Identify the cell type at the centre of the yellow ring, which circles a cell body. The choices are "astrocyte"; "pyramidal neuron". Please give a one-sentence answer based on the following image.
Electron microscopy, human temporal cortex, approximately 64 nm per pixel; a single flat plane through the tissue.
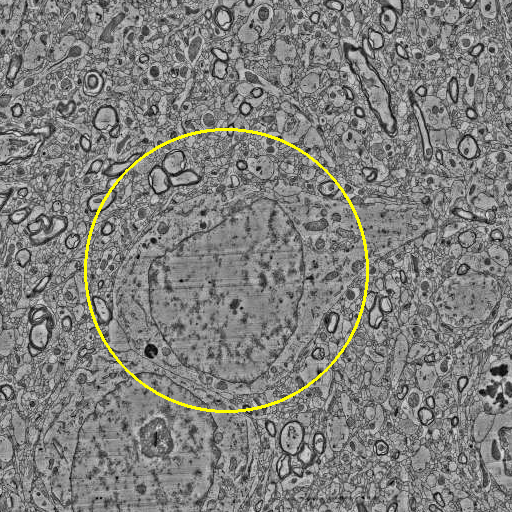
The cell marked by the ring is a pyramidal neuron.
